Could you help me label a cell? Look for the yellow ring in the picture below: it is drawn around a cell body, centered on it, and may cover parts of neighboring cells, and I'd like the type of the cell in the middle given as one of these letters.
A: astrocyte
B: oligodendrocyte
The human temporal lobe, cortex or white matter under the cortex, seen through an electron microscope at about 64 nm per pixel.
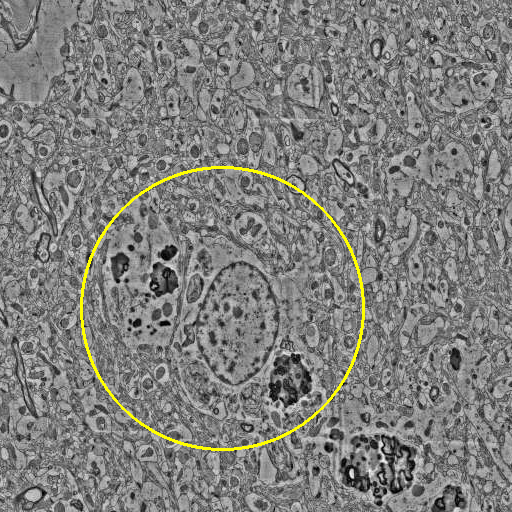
A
